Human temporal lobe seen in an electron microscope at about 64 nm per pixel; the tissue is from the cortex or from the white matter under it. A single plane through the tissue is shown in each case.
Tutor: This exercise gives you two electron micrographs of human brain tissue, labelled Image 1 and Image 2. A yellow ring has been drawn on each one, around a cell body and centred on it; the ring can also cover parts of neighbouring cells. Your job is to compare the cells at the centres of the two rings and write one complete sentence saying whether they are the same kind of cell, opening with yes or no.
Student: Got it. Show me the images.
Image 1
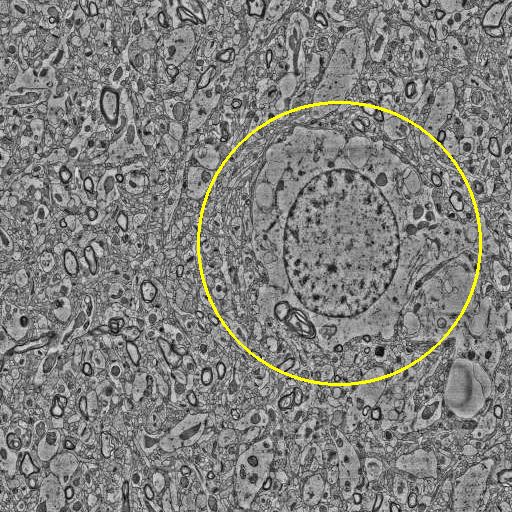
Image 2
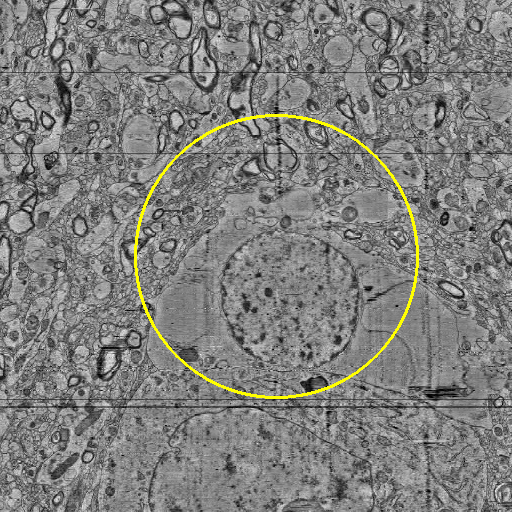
Yes, the two cells belong to the same kind.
